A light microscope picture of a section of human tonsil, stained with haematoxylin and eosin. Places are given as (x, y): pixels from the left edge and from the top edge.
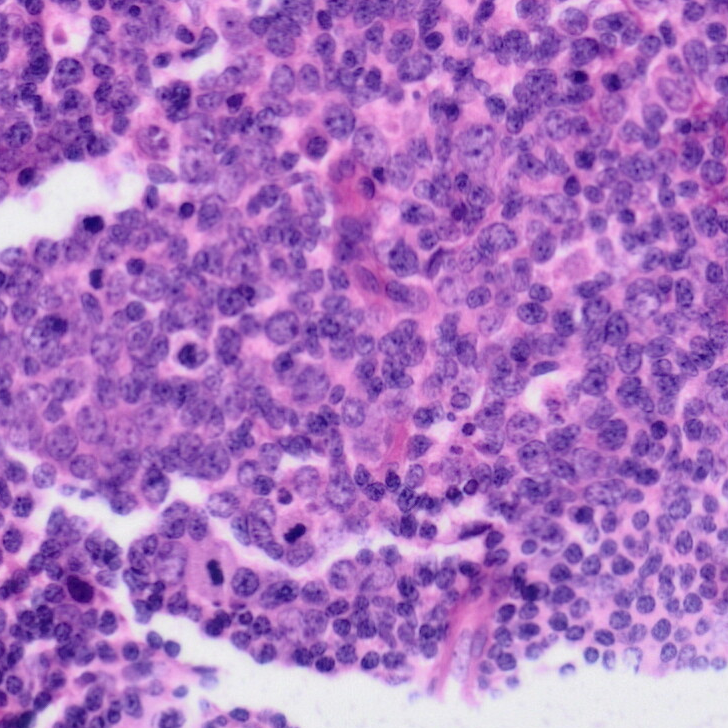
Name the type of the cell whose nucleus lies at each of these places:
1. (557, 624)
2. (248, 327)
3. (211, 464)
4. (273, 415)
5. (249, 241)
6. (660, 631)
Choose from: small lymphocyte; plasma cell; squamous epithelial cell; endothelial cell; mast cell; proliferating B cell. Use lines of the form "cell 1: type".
cell 1: small lymphocyte
cell 2: proliferating B cell
cell 3: proliferating B cell
cell 4: proliferating B cell
cell 5: proliferating B cell
cell 6: small lymphocyte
